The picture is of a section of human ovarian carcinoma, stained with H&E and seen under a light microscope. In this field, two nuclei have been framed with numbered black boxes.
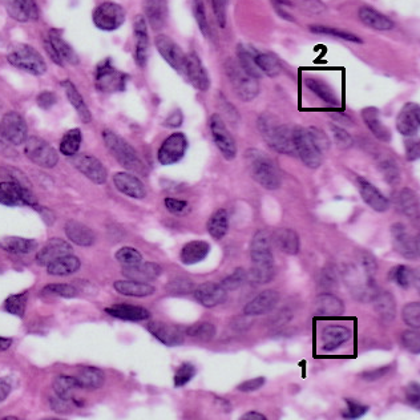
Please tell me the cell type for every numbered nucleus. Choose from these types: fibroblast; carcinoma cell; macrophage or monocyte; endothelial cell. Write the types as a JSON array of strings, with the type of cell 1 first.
["macrophage or monocyte", "carcinoma cell"]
